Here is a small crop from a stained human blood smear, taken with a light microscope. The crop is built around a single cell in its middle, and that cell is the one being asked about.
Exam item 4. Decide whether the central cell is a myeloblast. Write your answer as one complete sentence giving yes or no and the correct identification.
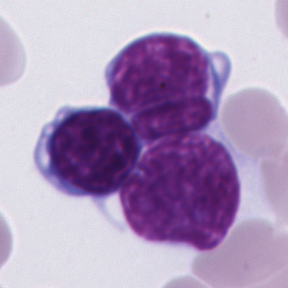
Yes, the cell lying in the middle is a myeloblast.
